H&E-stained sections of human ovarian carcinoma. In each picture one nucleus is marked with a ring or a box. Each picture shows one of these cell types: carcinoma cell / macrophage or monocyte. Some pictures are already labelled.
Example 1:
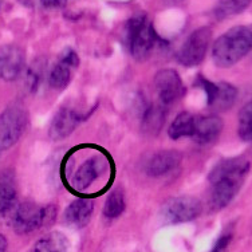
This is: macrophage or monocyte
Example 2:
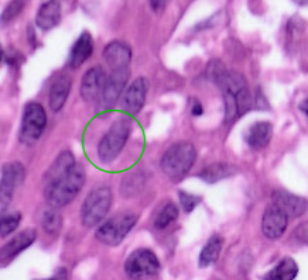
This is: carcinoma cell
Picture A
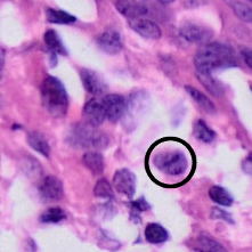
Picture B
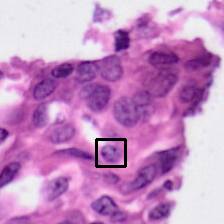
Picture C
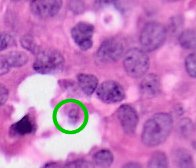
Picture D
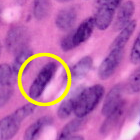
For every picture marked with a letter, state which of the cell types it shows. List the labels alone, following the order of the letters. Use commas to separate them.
macrophage or monocyte, macrophage or monocyte, carcinoma cell, carcinoma cell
